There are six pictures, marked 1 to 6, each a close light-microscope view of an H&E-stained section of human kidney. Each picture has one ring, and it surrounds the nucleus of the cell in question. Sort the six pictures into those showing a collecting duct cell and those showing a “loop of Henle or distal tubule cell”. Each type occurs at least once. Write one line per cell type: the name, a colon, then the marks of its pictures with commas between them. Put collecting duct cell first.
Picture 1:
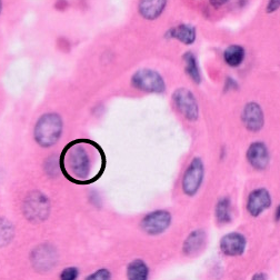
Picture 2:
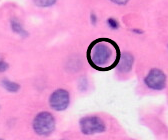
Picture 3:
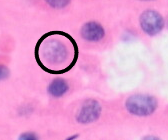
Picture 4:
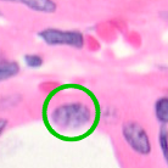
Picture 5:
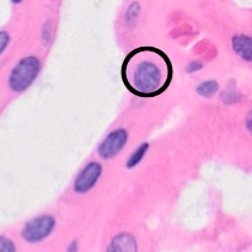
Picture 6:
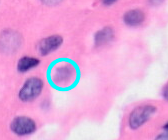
collecting duct cell: 4, 5
loop of Henle or distal tubule cell: 1, 2, 3, 6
